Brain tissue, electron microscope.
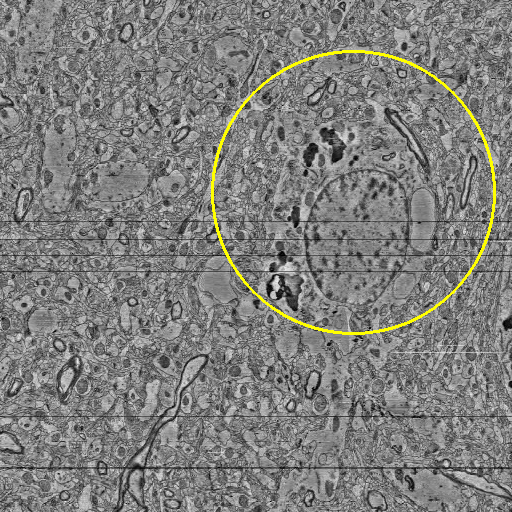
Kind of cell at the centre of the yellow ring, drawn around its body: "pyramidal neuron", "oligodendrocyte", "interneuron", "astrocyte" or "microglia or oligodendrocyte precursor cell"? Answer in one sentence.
The ring's centre falls on an astrocyte.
